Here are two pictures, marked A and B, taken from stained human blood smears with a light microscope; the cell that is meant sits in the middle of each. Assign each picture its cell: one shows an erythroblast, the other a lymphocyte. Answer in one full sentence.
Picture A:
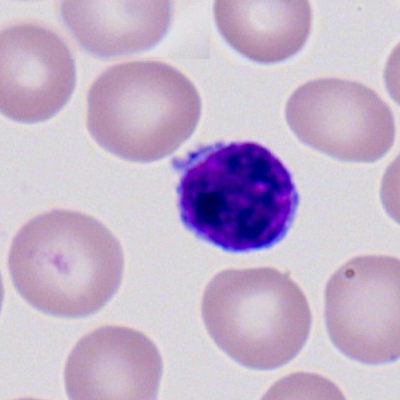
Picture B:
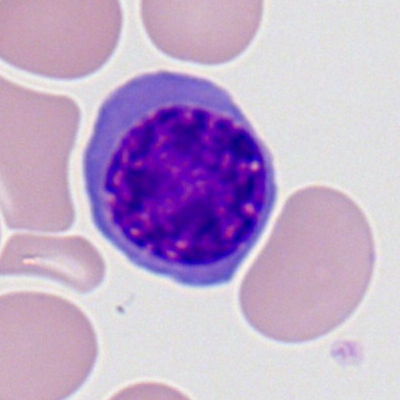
Picture B shows an erythroblast, while picture A shows a lymphocyte.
